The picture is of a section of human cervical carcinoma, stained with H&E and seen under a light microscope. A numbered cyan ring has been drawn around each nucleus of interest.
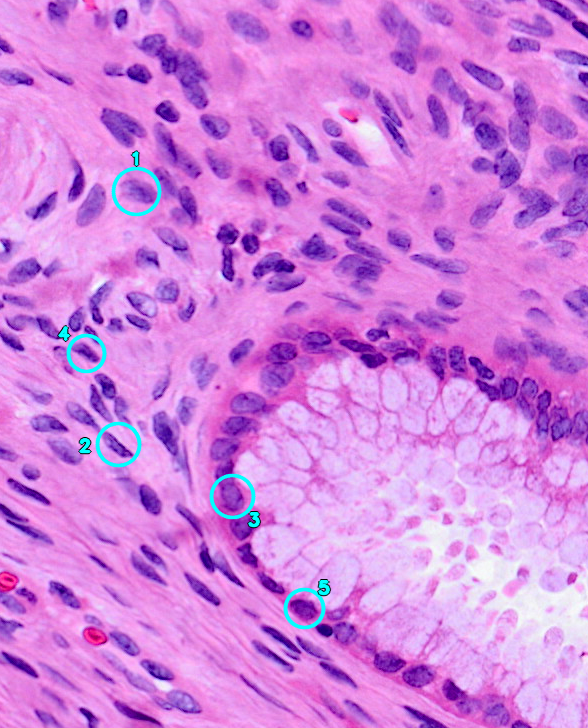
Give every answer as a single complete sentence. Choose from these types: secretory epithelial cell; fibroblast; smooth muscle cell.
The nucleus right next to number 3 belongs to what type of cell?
Closest to number 3 lies the nucleus of a secretory epithelial cell.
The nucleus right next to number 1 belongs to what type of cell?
Closest to number 1 lies the nucleus of a fibroblast.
